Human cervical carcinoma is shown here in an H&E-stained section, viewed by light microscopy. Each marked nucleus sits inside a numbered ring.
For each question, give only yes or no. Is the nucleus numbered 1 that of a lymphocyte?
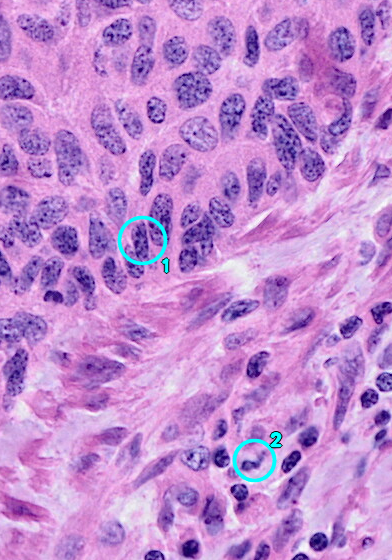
no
